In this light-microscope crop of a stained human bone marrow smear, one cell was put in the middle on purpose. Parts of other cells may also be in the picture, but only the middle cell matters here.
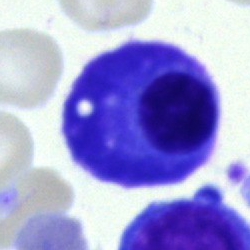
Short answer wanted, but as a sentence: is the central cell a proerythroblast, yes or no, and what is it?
No, the central cell does not represent a proerythroblast, but a plasma cell.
